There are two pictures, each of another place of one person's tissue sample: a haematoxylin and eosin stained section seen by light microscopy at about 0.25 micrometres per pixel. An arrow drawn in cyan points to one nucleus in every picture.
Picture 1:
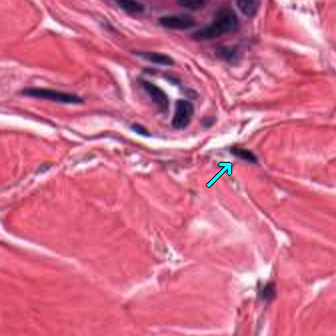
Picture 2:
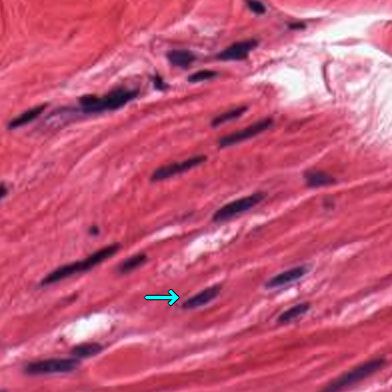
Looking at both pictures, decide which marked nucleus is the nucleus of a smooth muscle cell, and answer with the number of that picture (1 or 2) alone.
2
